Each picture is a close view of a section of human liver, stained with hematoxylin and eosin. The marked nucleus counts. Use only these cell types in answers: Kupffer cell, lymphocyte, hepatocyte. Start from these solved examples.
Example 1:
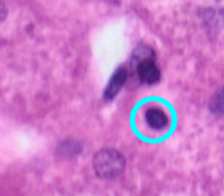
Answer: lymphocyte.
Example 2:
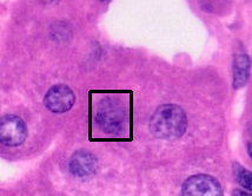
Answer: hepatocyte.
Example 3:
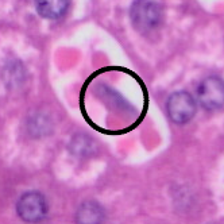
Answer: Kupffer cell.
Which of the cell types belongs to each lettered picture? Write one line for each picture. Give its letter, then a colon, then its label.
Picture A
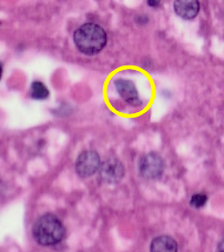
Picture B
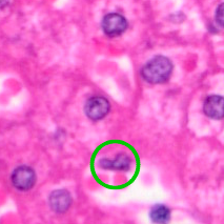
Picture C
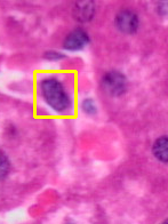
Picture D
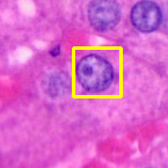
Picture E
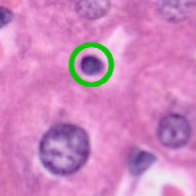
A: Kupffer cell.
B: Kupffer cell.
C: Kupffer cell.
D: hepatocyte.
E: lymphocyte.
